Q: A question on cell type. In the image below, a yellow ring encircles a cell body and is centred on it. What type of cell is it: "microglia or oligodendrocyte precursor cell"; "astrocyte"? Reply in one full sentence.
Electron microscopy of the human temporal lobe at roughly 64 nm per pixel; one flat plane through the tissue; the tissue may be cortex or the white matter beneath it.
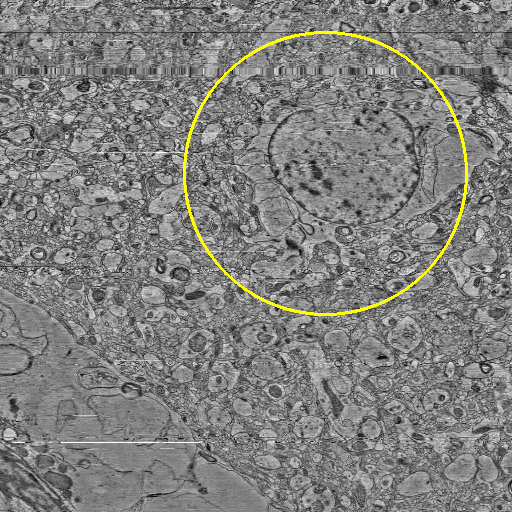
It is an astrocyte whose cell body sits at the centre of the yellow ring in the image.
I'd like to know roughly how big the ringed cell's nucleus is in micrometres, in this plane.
Approximately 10 by 8 micrometers in this plane.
